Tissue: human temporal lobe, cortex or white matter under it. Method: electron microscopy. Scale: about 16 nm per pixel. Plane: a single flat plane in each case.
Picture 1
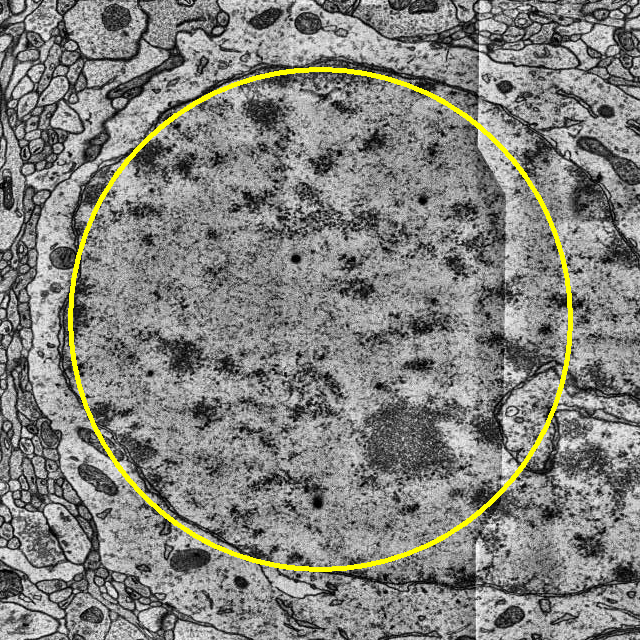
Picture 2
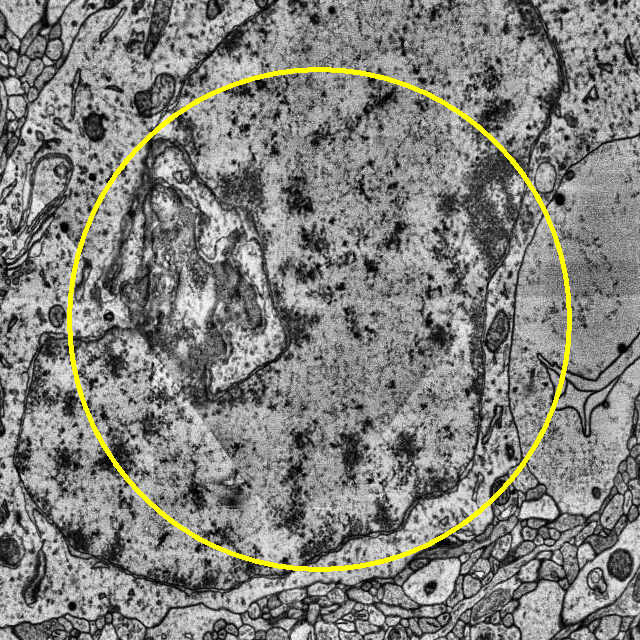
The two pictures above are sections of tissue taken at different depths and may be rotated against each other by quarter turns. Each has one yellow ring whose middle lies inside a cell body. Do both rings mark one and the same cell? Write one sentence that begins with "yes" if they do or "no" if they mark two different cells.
Yes, the two yellow circles hold the same cell.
